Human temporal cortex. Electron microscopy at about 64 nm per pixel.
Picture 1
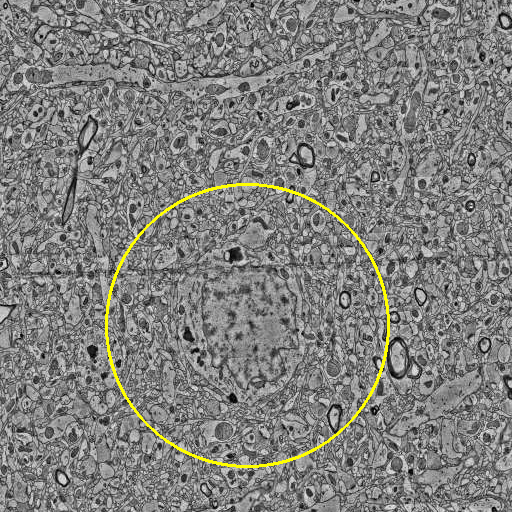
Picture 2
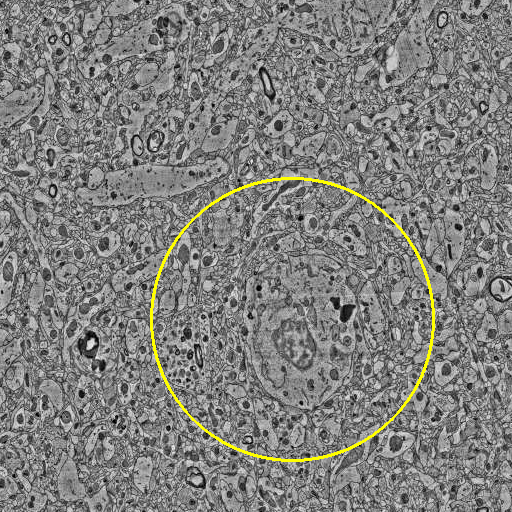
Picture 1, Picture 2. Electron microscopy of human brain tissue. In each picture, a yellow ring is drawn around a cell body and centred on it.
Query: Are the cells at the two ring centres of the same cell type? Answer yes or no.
yes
